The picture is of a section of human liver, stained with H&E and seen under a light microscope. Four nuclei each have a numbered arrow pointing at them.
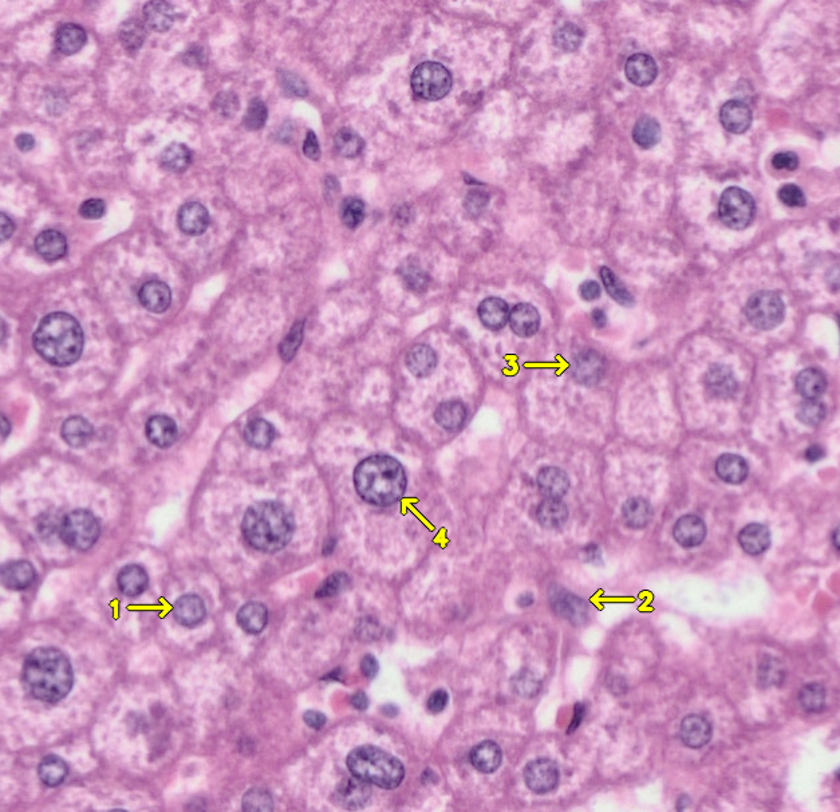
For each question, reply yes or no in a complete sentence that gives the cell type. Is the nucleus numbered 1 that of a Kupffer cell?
No, the cell referred to as 1 is a hepatocyte, not a Kupffer cell.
